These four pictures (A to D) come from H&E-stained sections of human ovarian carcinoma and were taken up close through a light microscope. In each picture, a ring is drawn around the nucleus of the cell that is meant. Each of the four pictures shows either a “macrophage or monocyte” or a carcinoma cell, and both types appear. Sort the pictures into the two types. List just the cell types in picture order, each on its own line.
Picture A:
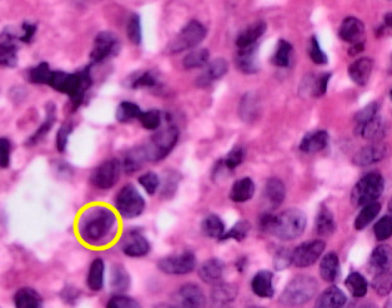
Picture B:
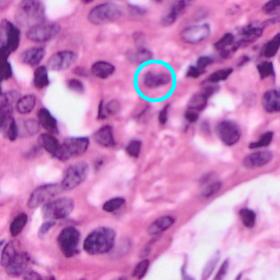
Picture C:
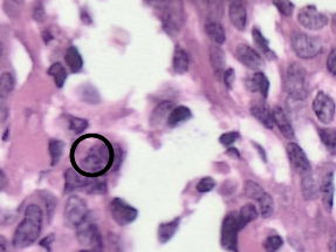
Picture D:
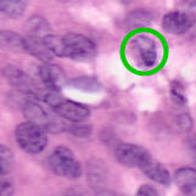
carcinoma cell
macrophage or monocyte
carcinoma cell
macrophage or monocyte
